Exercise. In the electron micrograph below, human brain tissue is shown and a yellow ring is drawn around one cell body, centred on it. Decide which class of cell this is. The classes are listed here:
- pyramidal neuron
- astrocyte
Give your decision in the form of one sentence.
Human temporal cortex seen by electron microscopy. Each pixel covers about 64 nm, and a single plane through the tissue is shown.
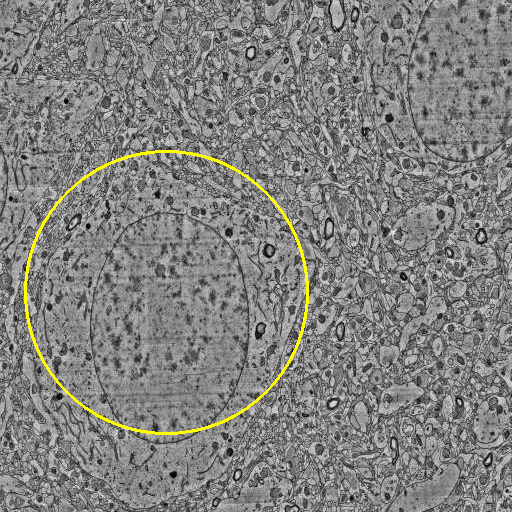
The cell body marked by the ring belongs to a pyramidal neuron.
